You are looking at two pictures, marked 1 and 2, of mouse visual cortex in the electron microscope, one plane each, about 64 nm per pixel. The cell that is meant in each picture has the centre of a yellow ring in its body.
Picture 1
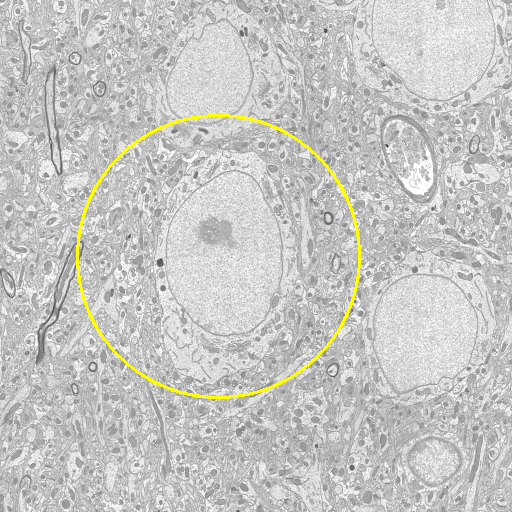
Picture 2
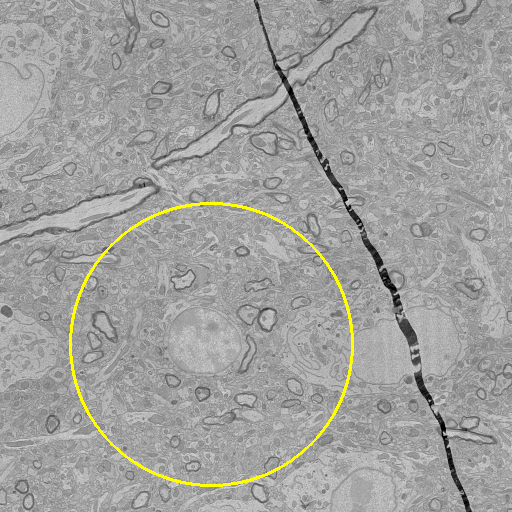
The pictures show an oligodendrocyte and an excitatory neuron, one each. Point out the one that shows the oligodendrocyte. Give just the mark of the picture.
2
